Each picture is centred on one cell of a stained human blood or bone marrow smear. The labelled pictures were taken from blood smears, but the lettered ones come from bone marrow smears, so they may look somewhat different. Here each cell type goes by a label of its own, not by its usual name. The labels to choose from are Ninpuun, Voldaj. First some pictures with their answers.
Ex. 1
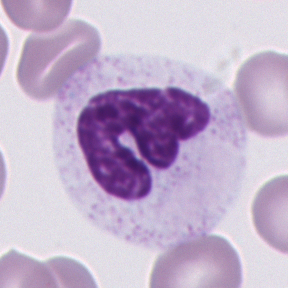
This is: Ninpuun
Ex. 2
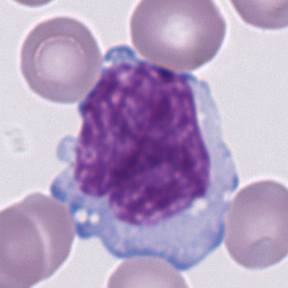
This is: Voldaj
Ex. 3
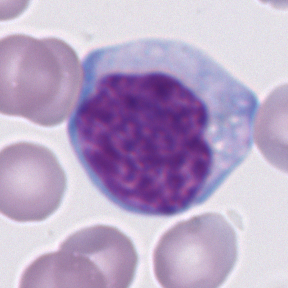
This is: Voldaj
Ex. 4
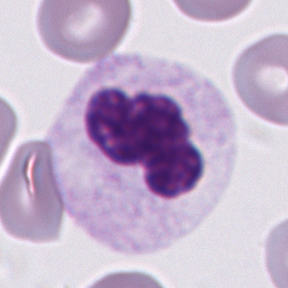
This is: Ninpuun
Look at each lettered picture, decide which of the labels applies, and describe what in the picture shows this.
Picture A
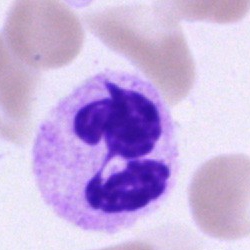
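Ninpuun: The cytoplasm is abundant and pale pinkish-lilac.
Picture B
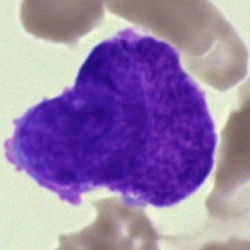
Voldaj: Cytoplasm is scant and shows only as a thin, paler lilac rim along the left edge.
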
